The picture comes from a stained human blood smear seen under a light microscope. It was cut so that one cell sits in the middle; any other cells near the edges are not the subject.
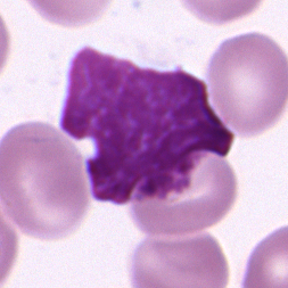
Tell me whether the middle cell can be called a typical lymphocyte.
no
